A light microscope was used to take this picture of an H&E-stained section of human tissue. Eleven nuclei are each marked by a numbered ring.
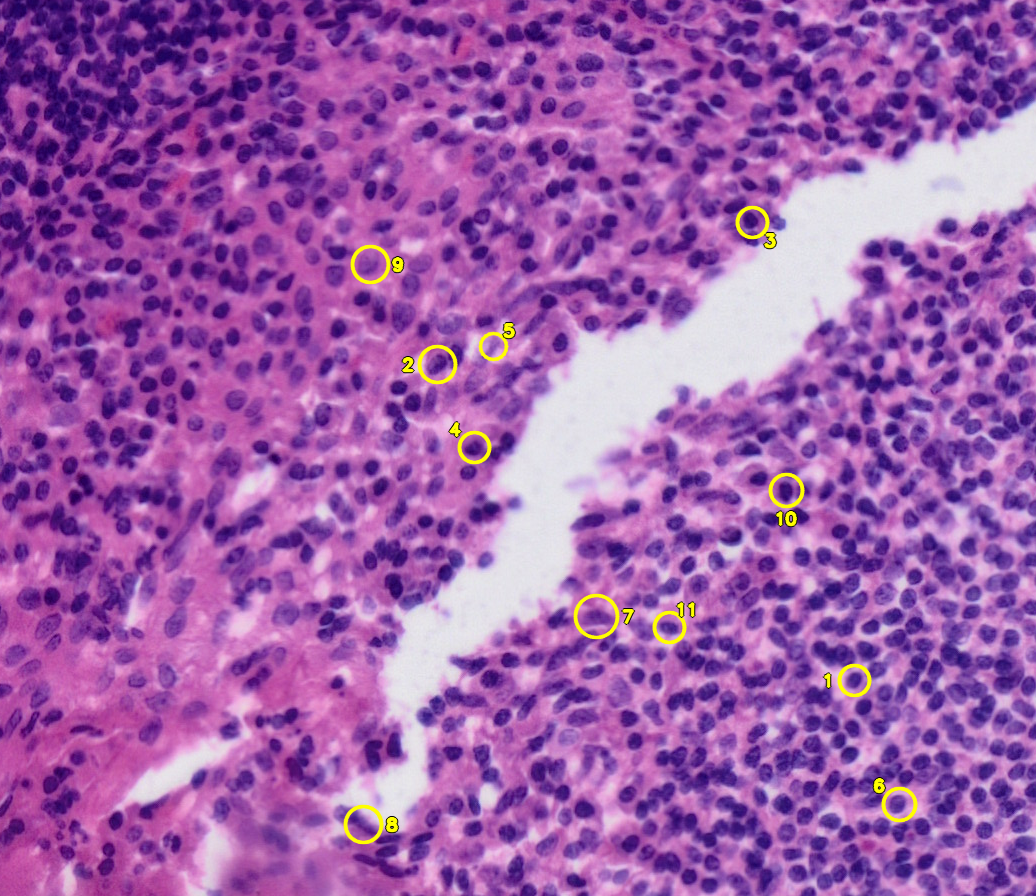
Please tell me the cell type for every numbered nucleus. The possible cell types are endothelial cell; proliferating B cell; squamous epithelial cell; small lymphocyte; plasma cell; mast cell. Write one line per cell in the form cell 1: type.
cell 1: small lymphocyte
cell 2: plasma cell
cell 3: plasma cell
cell 4: plasma cell
cell 5: squamous epithelial cell
cell 6: small lymphocyte
cell 7: squamous epithelial cell
cell 8: squamous epithelial cell
cell 9: squamous epithelial cell
cell 10: plasma cell
cell 11: plasma cell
